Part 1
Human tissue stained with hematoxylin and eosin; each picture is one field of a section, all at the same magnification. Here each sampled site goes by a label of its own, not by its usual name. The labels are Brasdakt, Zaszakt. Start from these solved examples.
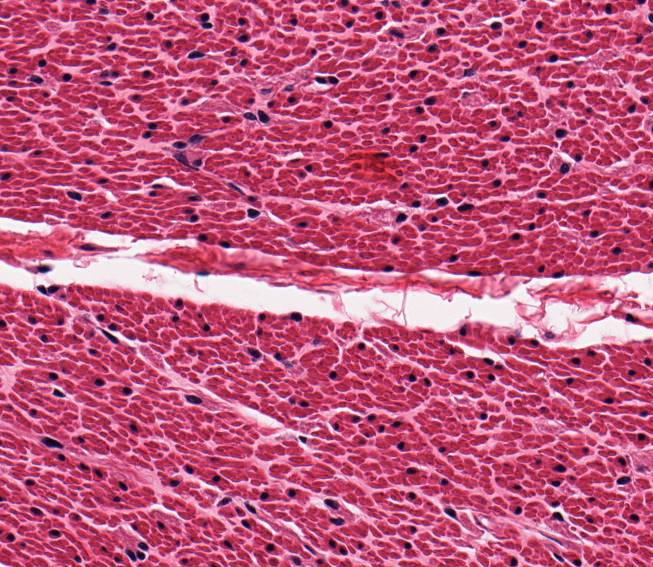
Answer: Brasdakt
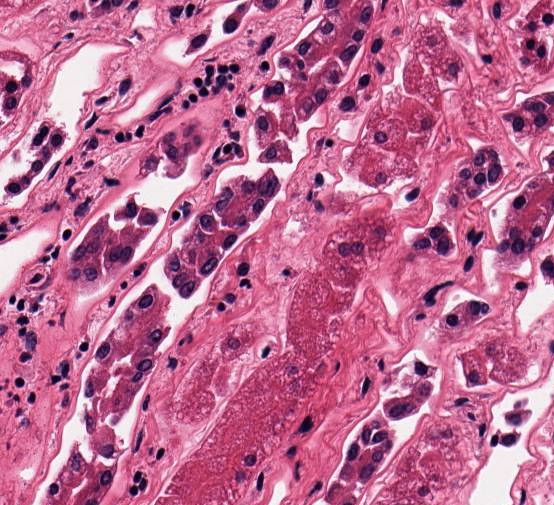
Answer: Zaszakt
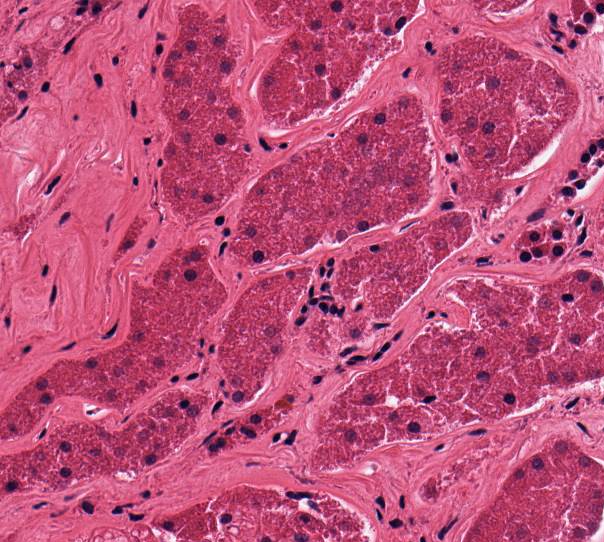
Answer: Zaszakt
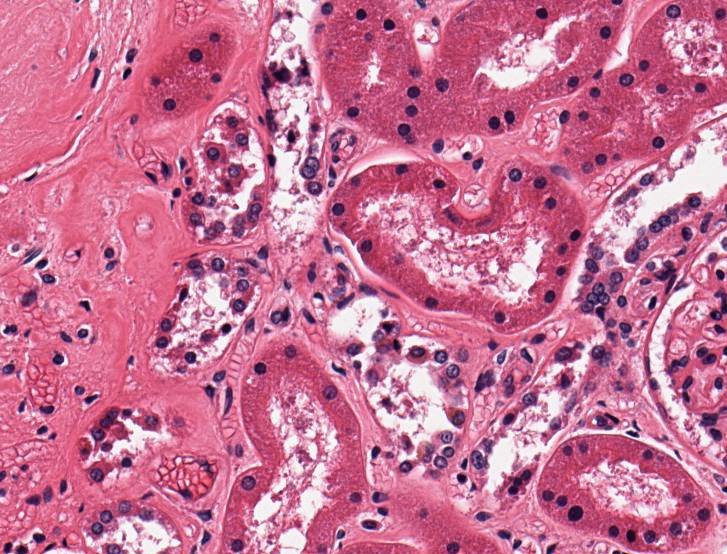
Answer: Zaszakt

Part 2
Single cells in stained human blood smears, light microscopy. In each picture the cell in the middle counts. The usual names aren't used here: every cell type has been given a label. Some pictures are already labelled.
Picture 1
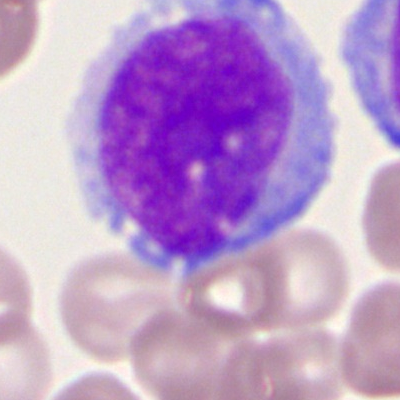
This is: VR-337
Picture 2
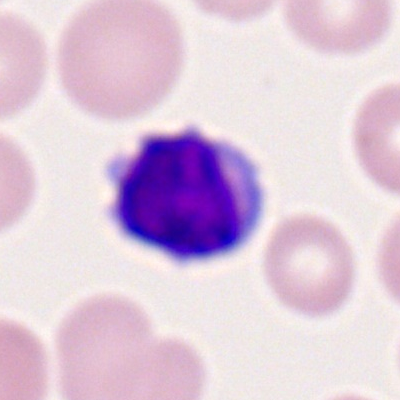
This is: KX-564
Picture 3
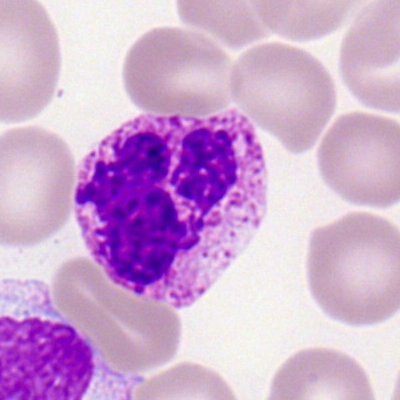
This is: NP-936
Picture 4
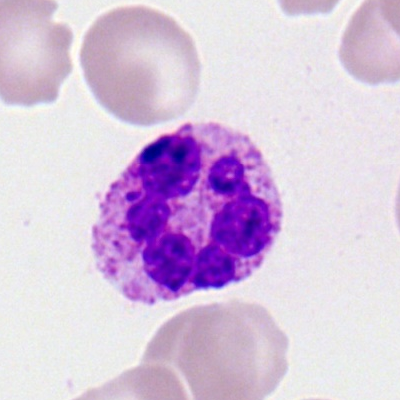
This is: NP-936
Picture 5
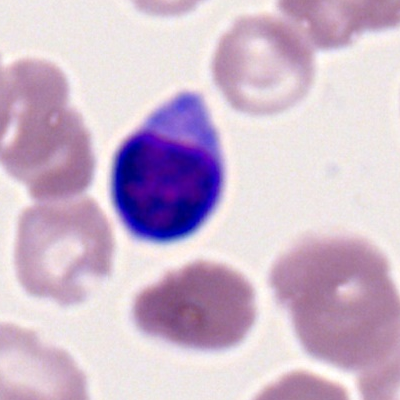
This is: KX-564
